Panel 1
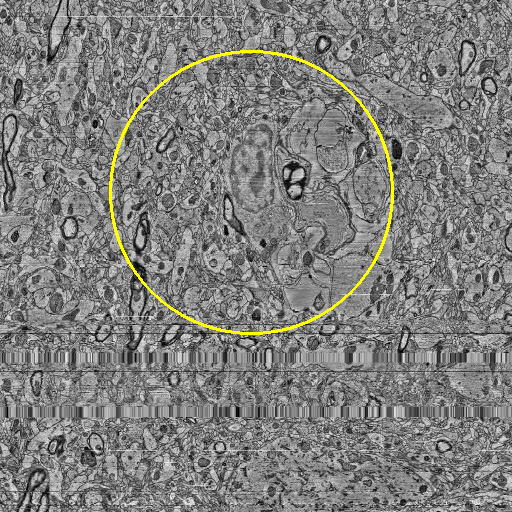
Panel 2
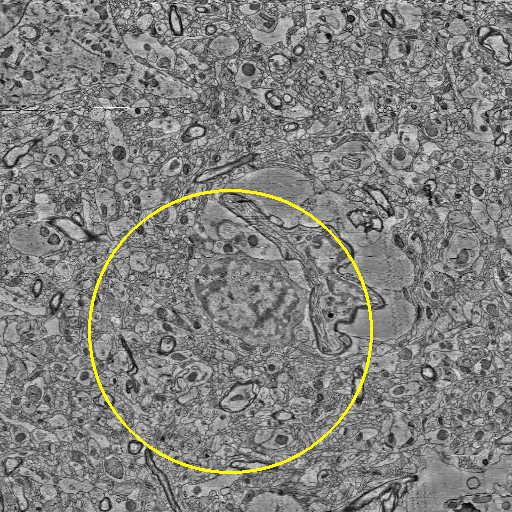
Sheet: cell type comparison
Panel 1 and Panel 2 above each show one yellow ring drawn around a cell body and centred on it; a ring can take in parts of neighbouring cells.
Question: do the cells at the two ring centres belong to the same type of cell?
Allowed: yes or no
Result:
yes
